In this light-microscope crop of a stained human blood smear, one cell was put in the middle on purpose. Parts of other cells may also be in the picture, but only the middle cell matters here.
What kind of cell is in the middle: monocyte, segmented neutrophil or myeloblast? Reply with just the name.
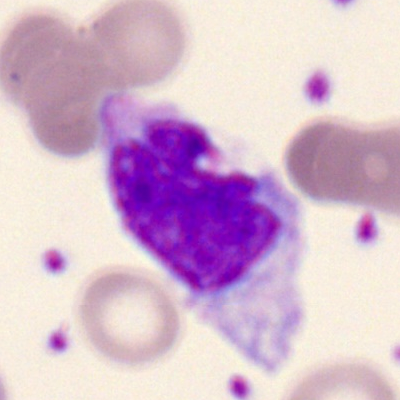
monocyte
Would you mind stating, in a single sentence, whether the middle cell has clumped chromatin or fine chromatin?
Just so you know, its chromatin is coarsely clumped.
